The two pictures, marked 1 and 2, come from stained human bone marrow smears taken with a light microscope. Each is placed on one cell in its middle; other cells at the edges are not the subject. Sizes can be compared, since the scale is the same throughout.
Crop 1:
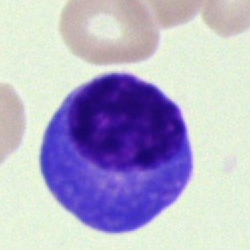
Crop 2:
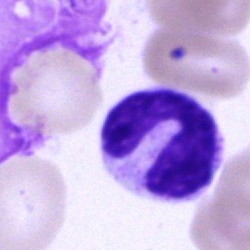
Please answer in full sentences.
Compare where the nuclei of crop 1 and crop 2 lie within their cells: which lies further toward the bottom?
In crop 2 the nucleus is shifted more toward the bottom.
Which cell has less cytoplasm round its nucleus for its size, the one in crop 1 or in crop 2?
The nucleus fills more of the cell in crop 2 than in crop 1.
